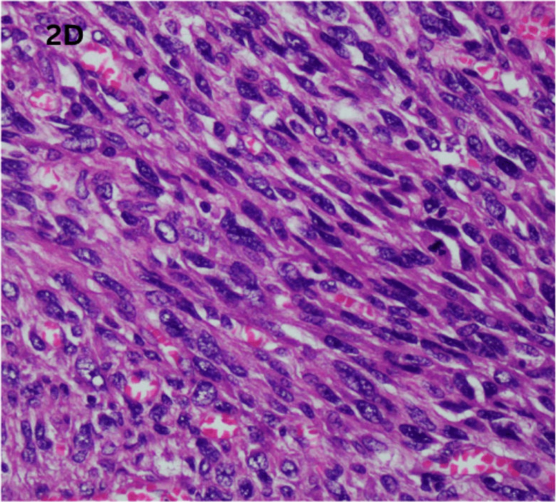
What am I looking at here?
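This is a high-power view of a spindle cell tumour, with the cells lined up in a fascicle running diagonally across the field. Their nuclei are enlarged, elongated to ovoid, and vary markedly in size and shape, so the pleomorphism is obvious. Many nuclei have open, vesicular chromatin, and some show small nucleoli. The cytoplasm is scant and pink, and the cell borders are poorly defined. Small vessels with red blood cells lie among the tumour cells, especially at the edges of the field.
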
